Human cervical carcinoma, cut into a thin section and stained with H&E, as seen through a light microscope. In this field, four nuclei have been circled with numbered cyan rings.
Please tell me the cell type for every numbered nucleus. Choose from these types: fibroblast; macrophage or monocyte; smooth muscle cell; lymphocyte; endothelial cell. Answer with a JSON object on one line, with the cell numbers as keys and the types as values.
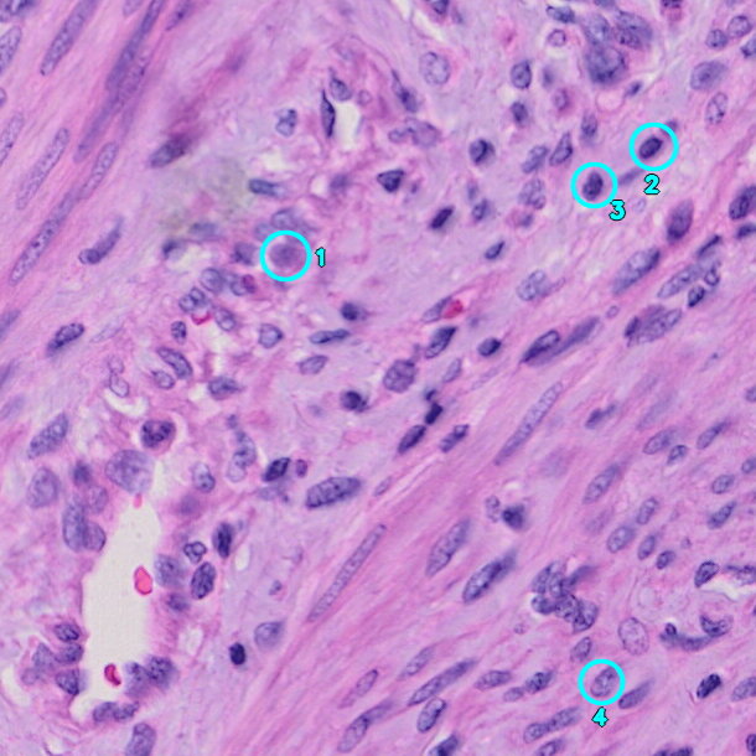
{"1": "endothelial cell", "2": "lymphocyte", "3": "lymphocyte", "4": "smooth muscle cell"}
